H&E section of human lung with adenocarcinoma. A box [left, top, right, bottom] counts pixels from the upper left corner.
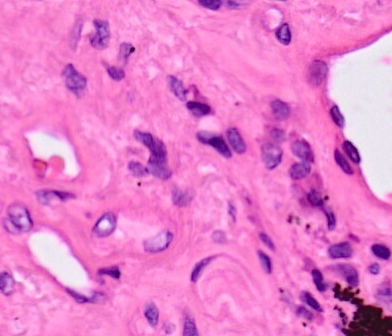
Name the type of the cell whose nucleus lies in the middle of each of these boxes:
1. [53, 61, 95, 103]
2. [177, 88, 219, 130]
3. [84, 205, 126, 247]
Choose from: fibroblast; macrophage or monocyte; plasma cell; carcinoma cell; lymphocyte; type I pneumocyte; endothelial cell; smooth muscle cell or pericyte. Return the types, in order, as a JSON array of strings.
["fibroblast", "plasma cell", "endothelial cell"]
